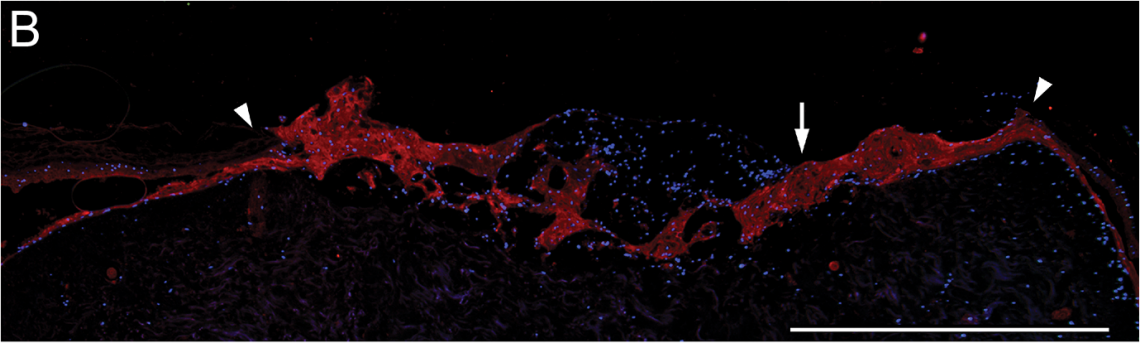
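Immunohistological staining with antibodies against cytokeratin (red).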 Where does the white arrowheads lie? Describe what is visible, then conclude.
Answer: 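The two arrowheads sit at either end of the thick red-stained surface layer. Beyond the arrowheads the surface layer is thinner and continues outward.
Conclusion: wound edges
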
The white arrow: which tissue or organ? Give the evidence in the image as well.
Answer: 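The arrow points at a red-stained epithelial layer lying on top of the wound bed. The red layer spans the gap between the two arrowheads. The layer is thick and irregular, with blue nuclei inside it. So: neoepidermis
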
